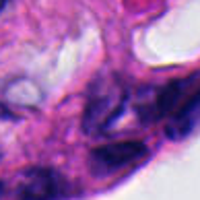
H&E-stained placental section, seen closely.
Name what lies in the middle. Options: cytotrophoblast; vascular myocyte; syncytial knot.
cytotrophoblast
